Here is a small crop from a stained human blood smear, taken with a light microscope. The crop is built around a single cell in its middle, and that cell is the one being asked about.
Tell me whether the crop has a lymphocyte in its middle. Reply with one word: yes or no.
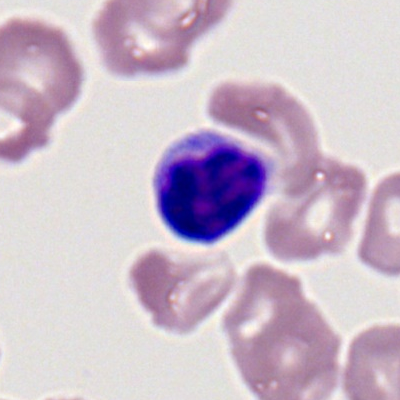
yes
